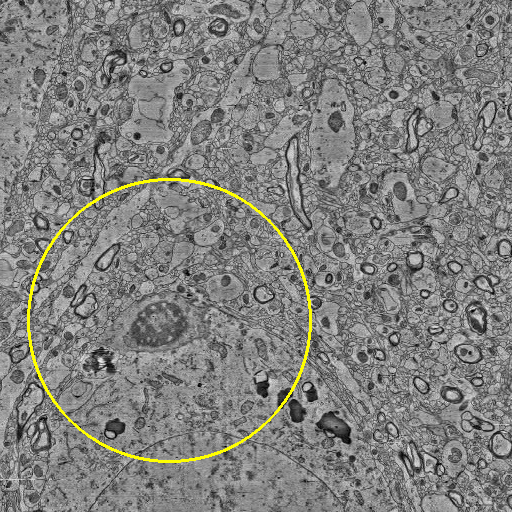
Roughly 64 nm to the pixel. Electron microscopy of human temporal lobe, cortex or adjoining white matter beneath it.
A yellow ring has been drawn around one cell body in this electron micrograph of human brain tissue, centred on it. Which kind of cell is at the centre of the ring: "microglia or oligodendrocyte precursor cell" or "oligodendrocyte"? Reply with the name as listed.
oligodendrocyte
